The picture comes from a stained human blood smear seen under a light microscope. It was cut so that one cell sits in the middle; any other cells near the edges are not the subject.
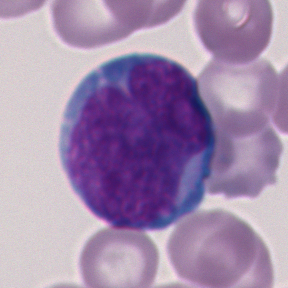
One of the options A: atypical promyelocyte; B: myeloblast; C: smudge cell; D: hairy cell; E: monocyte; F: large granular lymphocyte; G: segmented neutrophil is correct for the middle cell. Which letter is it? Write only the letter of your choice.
B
